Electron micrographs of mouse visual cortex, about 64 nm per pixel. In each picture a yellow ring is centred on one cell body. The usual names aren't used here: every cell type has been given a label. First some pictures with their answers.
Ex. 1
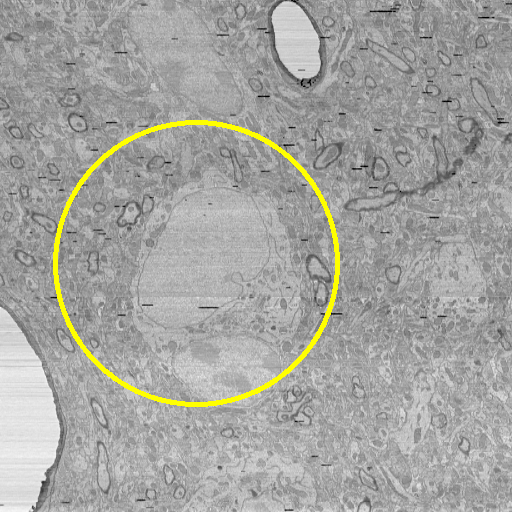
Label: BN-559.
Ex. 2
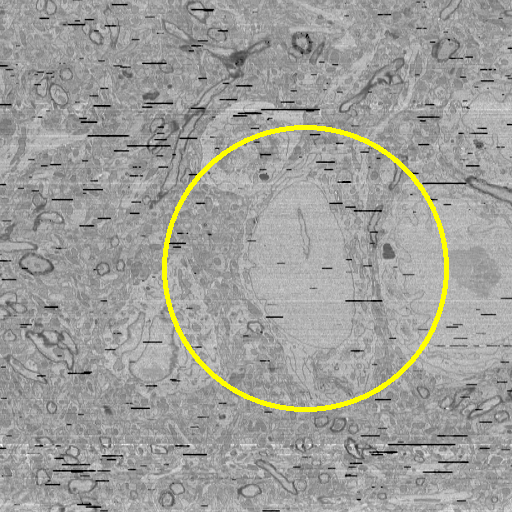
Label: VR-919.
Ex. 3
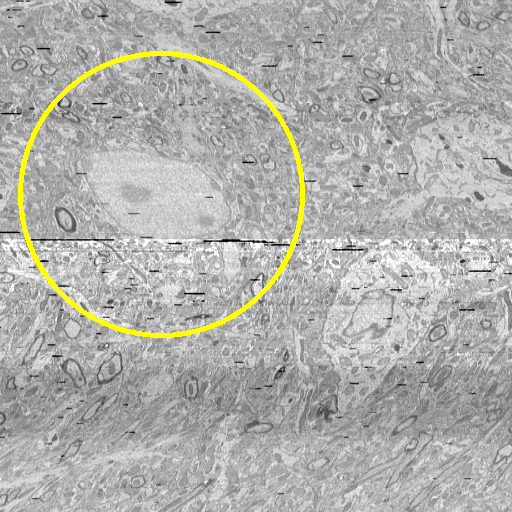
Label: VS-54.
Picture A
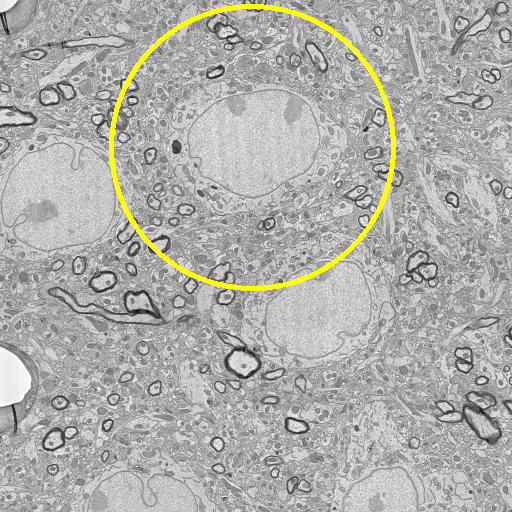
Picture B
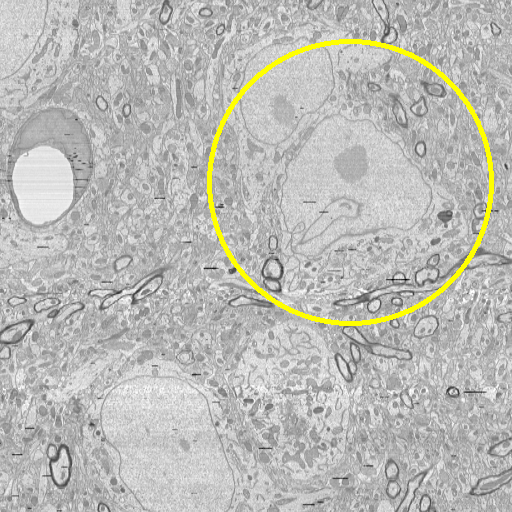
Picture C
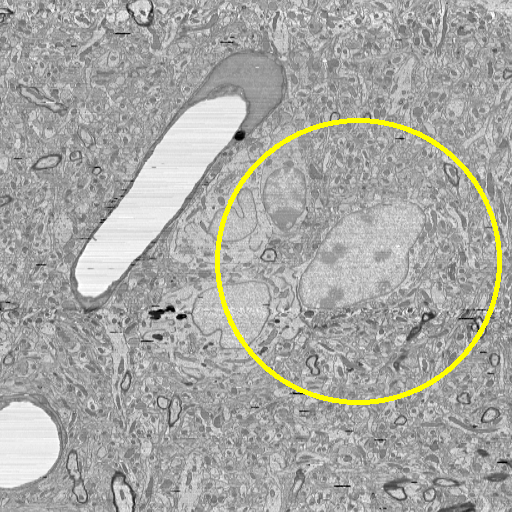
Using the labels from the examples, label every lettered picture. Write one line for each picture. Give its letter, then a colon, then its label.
A: BN-559.
B: VR-919.
C: VS-54.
